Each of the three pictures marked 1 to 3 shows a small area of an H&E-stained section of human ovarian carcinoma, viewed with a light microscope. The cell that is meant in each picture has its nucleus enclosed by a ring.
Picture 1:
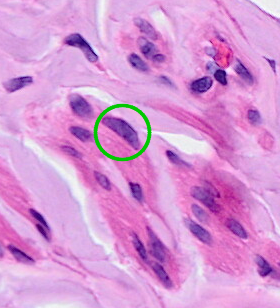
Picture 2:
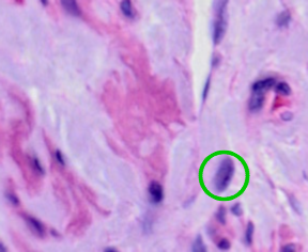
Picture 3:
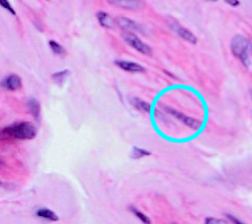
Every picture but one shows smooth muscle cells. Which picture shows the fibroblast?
2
